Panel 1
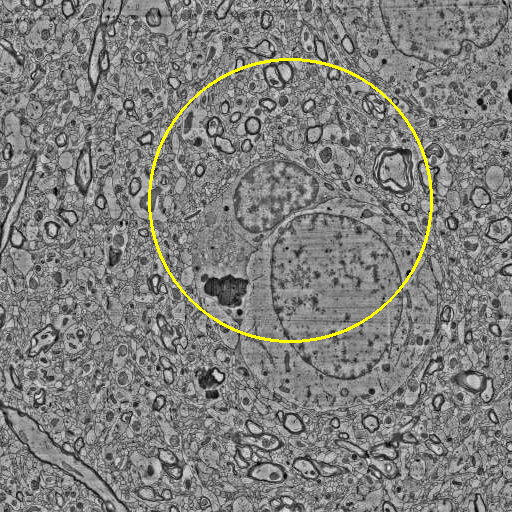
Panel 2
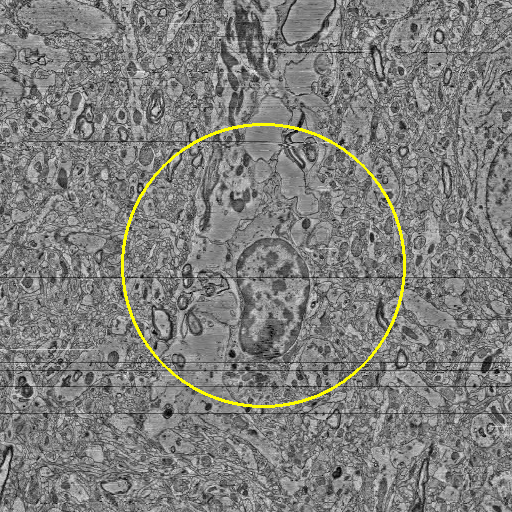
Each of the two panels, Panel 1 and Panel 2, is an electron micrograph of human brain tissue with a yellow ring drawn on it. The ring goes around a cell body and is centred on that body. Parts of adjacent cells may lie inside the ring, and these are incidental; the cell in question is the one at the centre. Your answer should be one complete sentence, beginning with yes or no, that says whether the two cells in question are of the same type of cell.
No, the two cells are of two types.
